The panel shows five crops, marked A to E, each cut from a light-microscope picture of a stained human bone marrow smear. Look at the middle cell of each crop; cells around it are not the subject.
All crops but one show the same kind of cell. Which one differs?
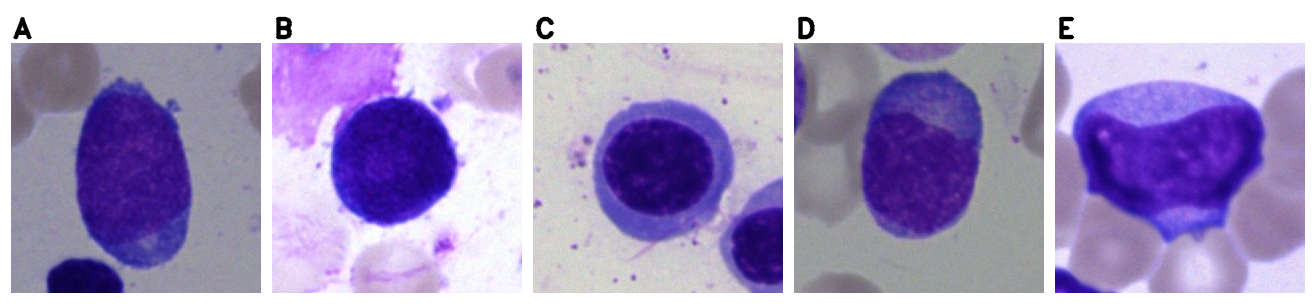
C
